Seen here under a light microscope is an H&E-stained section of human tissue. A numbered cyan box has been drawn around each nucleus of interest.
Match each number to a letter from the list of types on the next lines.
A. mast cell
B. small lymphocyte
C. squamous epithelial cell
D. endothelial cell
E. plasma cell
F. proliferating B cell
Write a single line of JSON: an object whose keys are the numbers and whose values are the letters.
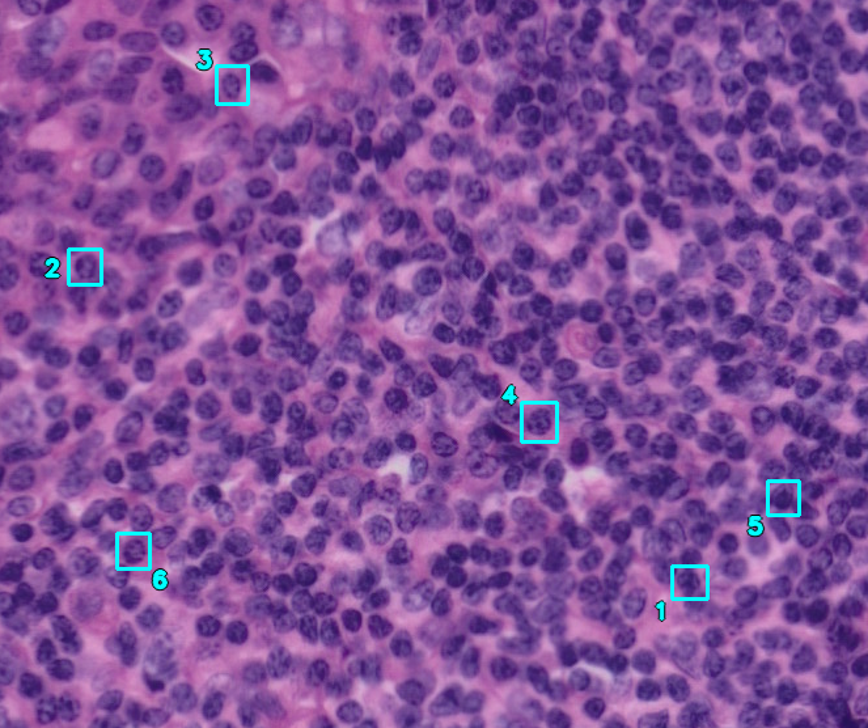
{"1": "B", "2": "E", "3": "E", "4": "E", "5": "B", "6": "E"}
